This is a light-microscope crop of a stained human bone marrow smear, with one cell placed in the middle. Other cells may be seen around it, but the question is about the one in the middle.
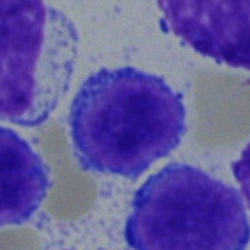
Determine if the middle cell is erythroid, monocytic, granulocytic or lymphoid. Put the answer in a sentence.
Of lymphoid lineage is the cell at the center of the crop.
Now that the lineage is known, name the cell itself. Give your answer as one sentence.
In this smear crop, the middle cell is a lymphocyte.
